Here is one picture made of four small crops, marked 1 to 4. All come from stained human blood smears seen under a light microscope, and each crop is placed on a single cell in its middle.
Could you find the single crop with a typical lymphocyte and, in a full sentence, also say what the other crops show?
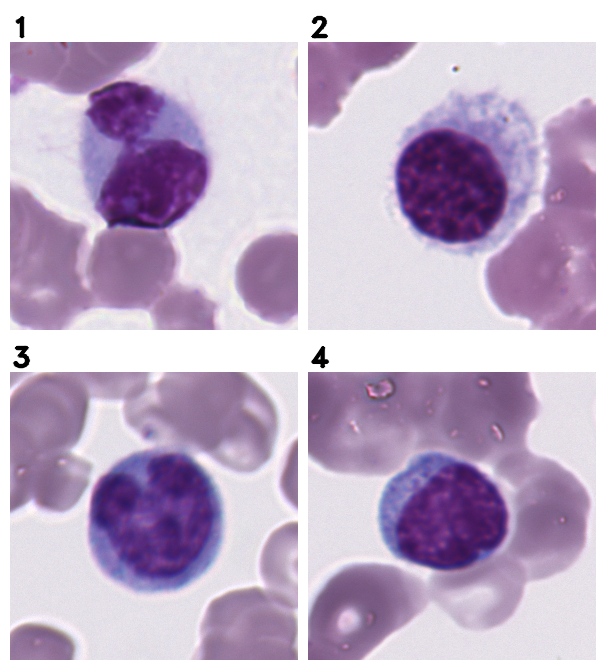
In crop 4, the cell at the centre is a typical lymphocyte, while crop 1 is a plasma cell, crop 2 is a hairy cell and crop 3 is a monocyte.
